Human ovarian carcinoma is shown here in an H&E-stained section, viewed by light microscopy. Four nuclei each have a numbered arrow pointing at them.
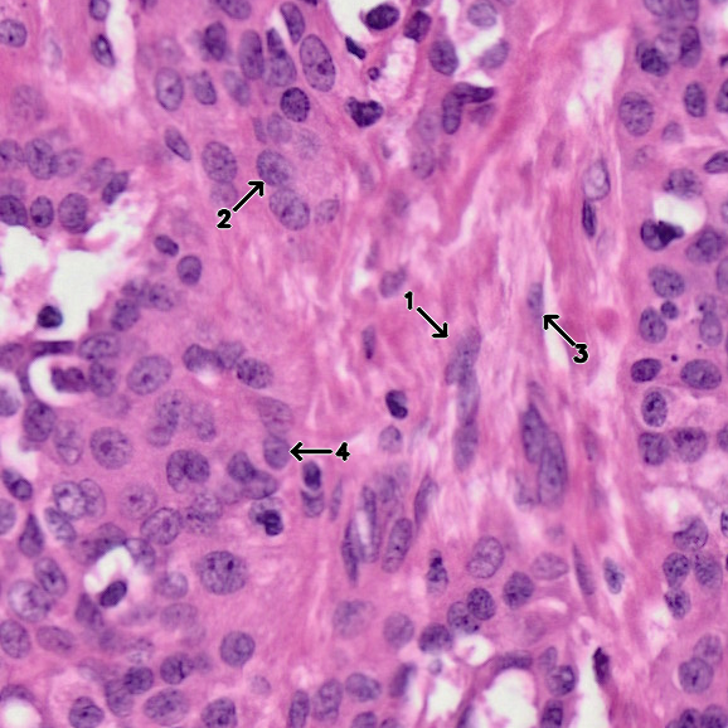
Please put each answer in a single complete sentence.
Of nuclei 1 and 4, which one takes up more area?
It is nucleus 1, which covers about 1.5 times the area of nucleus 4.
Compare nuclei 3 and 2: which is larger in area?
Nucleus 2 covers more area, about 2 times as much as nucleus 3.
